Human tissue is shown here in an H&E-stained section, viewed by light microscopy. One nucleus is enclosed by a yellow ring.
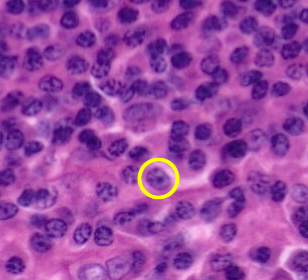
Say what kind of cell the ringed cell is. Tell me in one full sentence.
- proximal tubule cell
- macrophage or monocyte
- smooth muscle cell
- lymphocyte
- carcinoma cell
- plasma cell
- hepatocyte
Among the cells in this section, the ringed cell is a plasma cell.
